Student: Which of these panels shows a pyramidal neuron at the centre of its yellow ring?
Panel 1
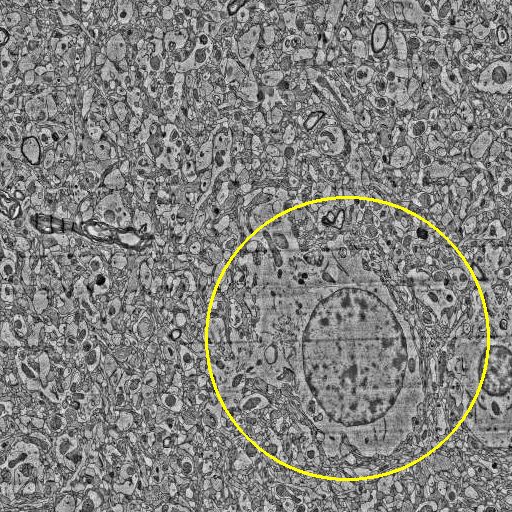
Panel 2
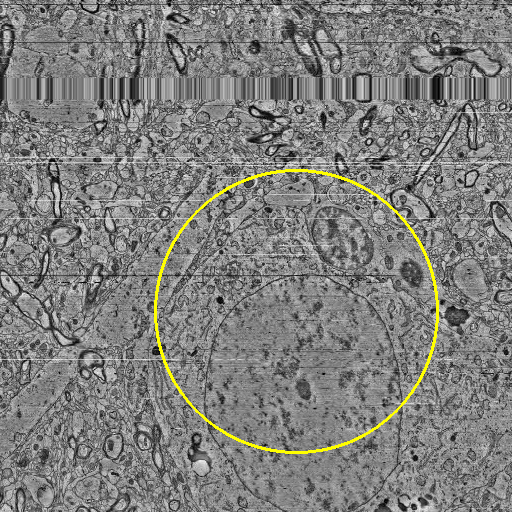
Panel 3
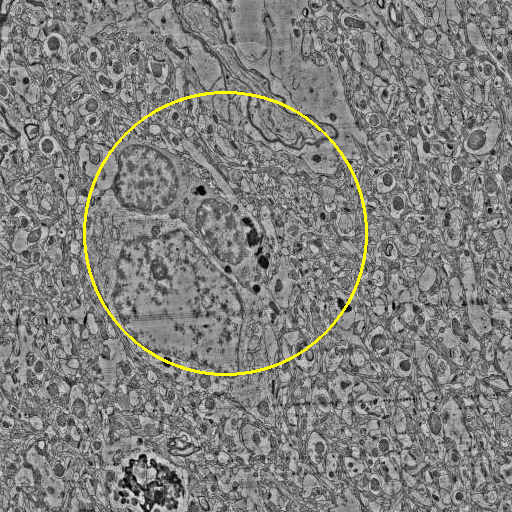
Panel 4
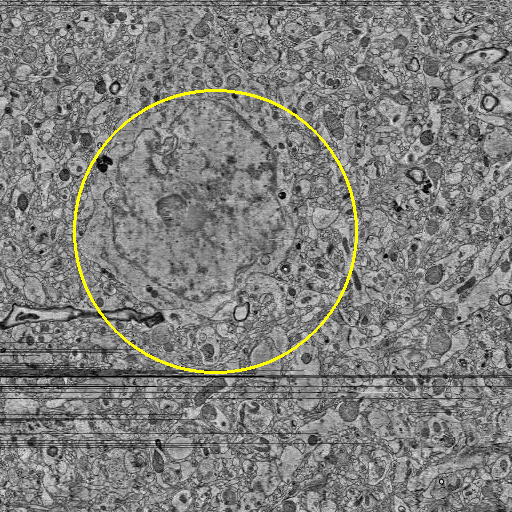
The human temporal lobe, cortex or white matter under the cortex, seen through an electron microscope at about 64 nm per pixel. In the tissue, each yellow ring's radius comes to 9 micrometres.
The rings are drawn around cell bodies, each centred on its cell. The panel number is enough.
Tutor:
2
